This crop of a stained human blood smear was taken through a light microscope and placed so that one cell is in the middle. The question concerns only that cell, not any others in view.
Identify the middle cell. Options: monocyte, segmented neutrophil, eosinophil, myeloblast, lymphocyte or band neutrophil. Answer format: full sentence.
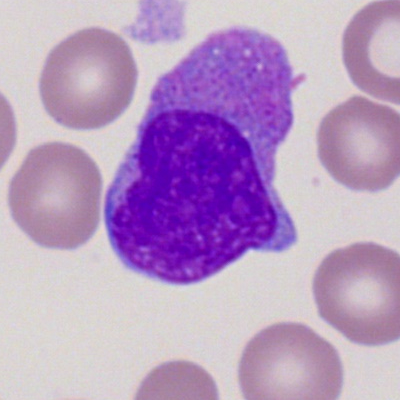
This crop is built around a myeloblast at its centre.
